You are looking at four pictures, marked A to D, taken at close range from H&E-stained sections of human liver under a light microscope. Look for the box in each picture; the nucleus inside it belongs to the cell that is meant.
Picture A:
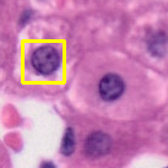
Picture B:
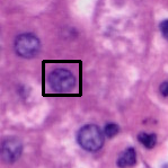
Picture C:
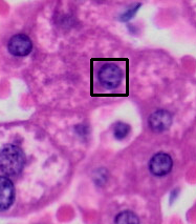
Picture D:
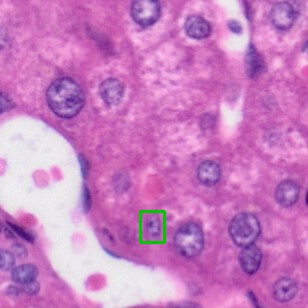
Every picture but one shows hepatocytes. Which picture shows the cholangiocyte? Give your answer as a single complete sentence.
Picture D is the one that shows the cholangiocyte.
